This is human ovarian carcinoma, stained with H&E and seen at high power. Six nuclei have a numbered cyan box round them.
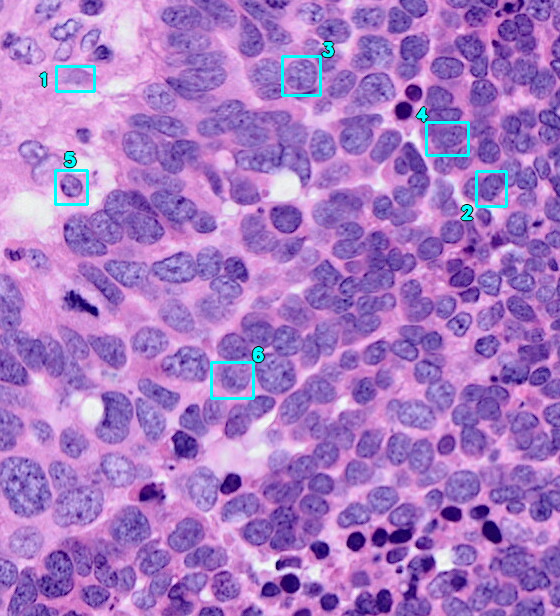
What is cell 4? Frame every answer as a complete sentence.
Numbered cell 4 is a carcinoma cell in this tissue section.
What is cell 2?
Numbered cell 2 is a carcinoma cell in this tissue section.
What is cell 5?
The one labeled 5 is a macrophage or monocyte, to put it simply.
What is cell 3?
The cell that bears the number 3 is a carcinoma cell.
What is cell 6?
Of the numbered cells, the one labelled 6 is a carcinoma cell.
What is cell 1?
As for number 1, that cell is a fibroblast.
